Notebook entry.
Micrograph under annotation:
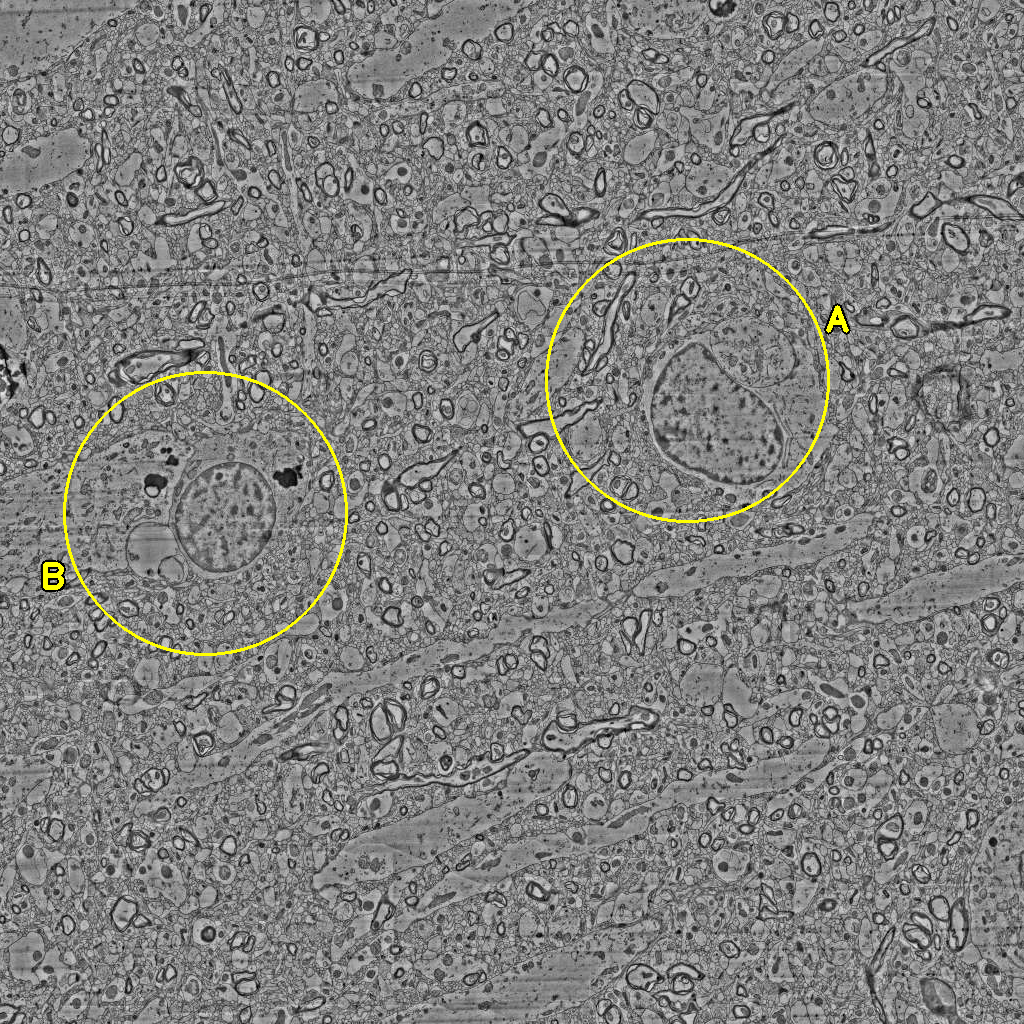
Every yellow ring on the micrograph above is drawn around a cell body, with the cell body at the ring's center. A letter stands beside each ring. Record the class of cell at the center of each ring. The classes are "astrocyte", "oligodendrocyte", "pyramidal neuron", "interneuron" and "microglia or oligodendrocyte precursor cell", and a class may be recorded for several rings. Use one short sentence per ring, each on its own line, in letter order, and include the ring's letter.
Ring A is centered on a microglial cell or oligodendrocyte precursor cell.
Ring B is centered on an oligodendrocyte.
